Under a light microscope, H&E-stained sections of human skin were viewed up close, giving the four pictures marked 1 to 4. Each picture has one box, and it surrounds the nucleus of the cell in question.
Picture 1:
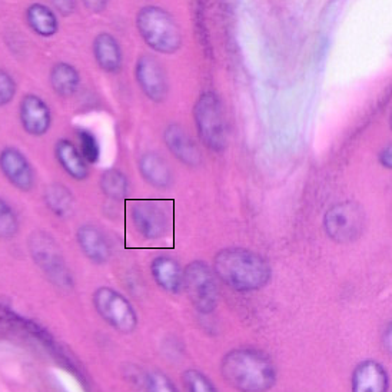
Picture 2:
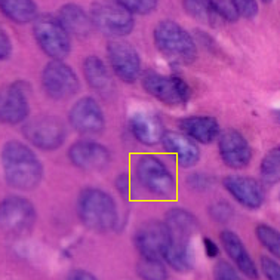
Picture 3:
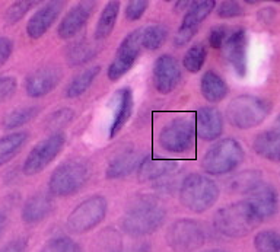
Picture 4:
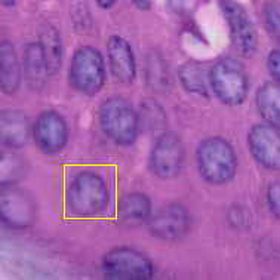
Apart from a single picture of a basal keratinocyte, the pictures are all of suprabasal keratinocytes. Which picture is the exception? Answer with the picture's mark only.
3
